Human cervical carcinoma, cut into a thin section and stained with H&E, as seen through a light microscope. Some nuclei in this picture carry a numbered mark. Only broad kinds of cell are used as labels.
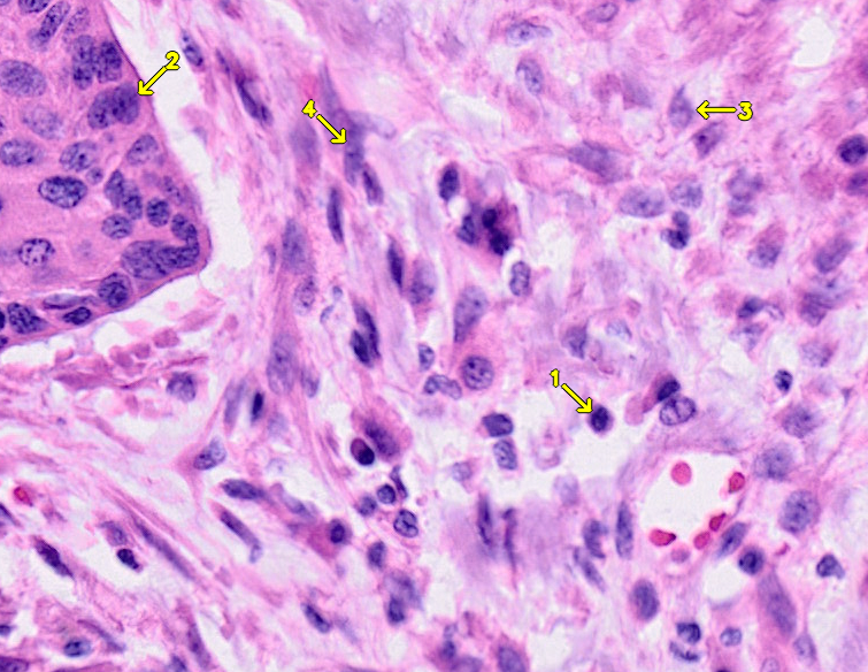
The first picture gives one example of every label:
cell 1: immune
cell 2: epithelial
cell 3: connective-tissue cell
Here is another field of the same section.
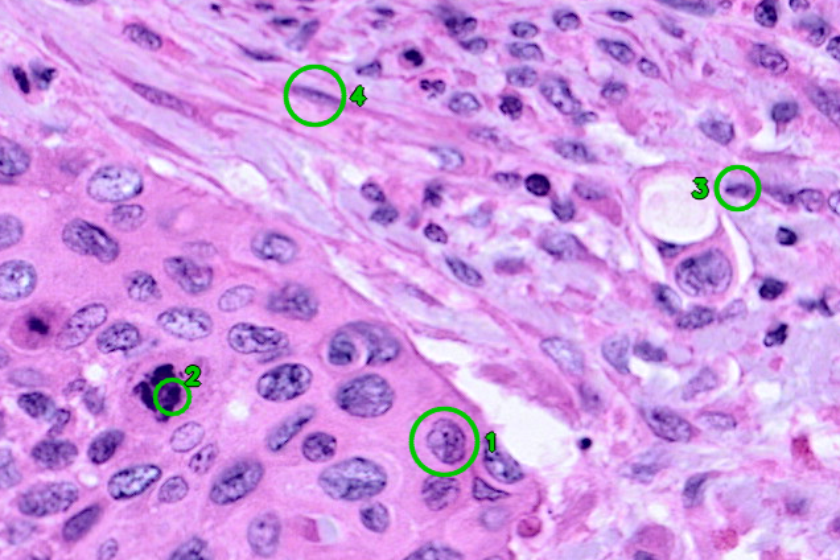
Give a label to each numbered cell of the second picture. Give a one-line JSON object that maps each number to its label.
{"1": "epithelial", "2": "epithelial", "3": "connective-tissue cell", "4": "connective-tissue cell"}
